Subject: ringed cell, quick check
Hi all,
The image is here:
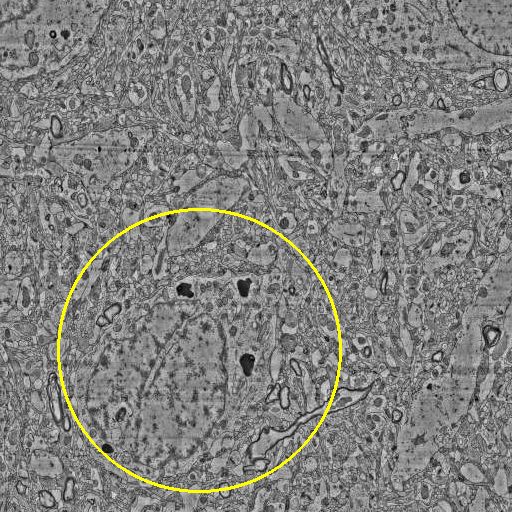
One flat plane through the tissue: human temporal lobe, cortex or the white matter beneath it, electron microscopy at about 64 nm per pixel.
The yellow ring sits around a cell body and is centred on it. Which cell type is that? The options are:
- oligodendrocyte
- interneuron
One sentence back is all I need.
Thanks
That ringed cell is an interneuron.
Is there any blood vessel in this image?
No, no blood vessel can be seen.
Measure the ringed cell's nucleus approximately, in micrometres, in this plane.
In this plane the nucleus measures roughly 11 by 9 micrometres.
